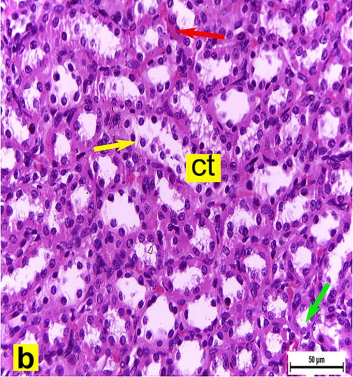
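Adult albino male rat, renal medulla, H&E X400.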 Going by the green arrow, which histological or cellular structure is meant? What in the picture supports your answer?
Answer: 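The arrow points to a narrow tubule lined by flat cells in the medulla. It is thinner than the surrounding tubules lined by cuboidal cells.
Answer: loop of Henle's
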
